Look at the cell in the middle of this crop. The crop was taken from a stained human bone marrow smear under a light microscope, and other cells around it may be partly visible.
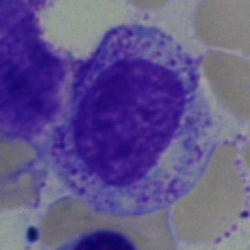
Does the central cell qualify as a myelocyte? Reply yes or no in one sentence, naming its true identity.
Yes, the cell shown in the middle is a myelocyte.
